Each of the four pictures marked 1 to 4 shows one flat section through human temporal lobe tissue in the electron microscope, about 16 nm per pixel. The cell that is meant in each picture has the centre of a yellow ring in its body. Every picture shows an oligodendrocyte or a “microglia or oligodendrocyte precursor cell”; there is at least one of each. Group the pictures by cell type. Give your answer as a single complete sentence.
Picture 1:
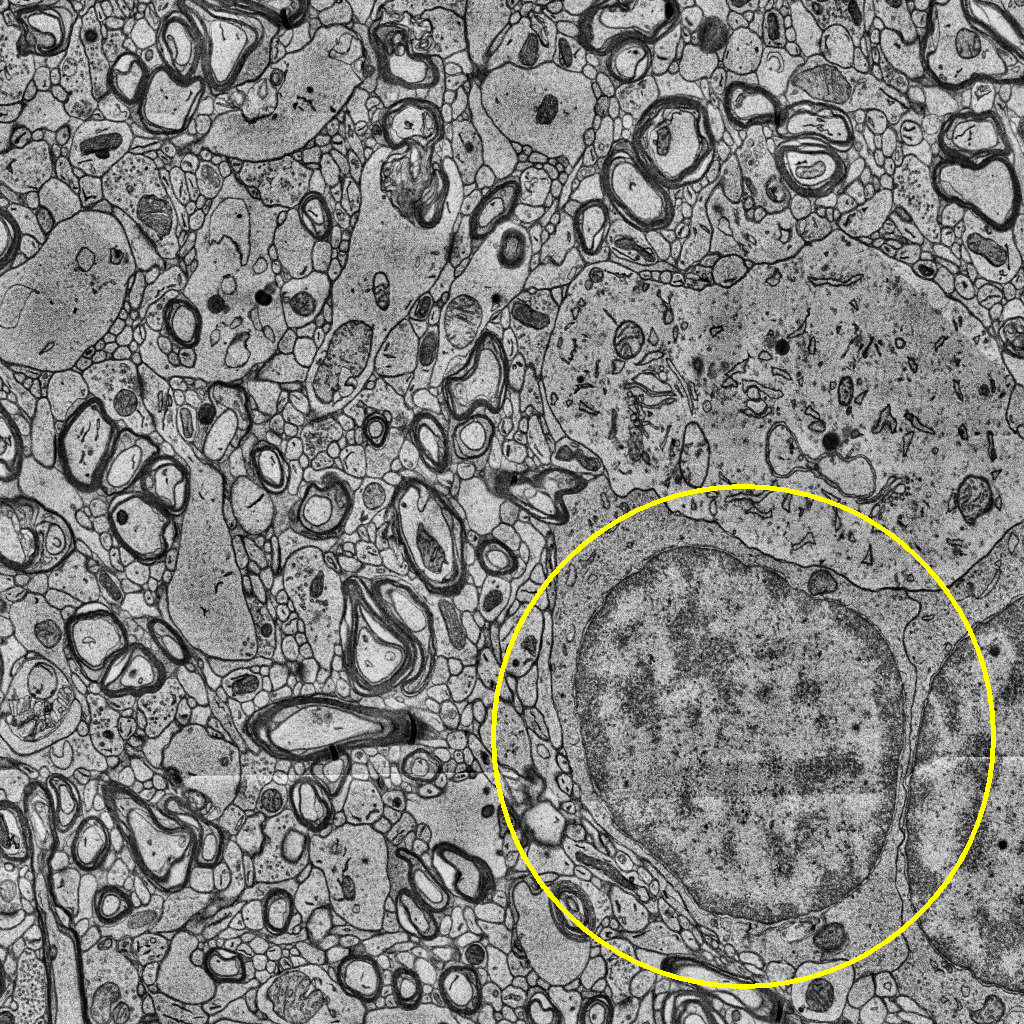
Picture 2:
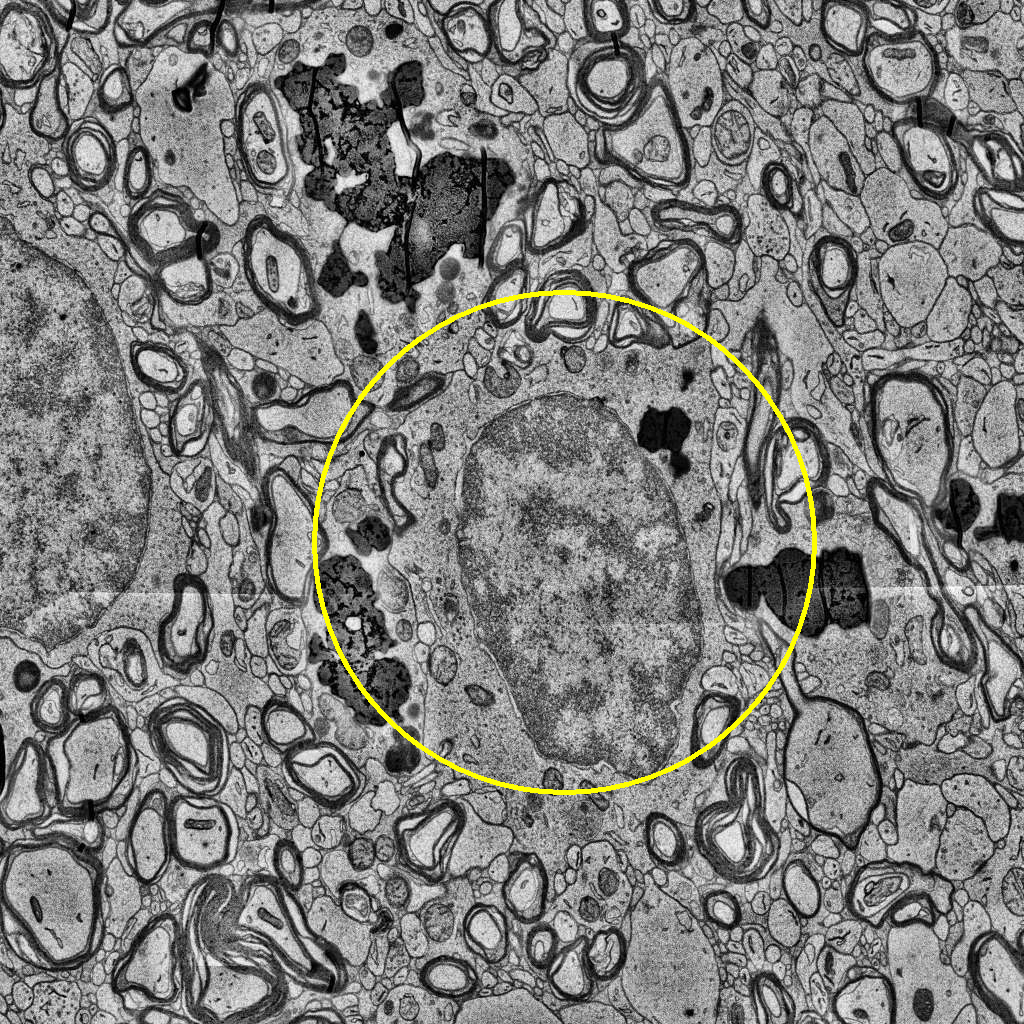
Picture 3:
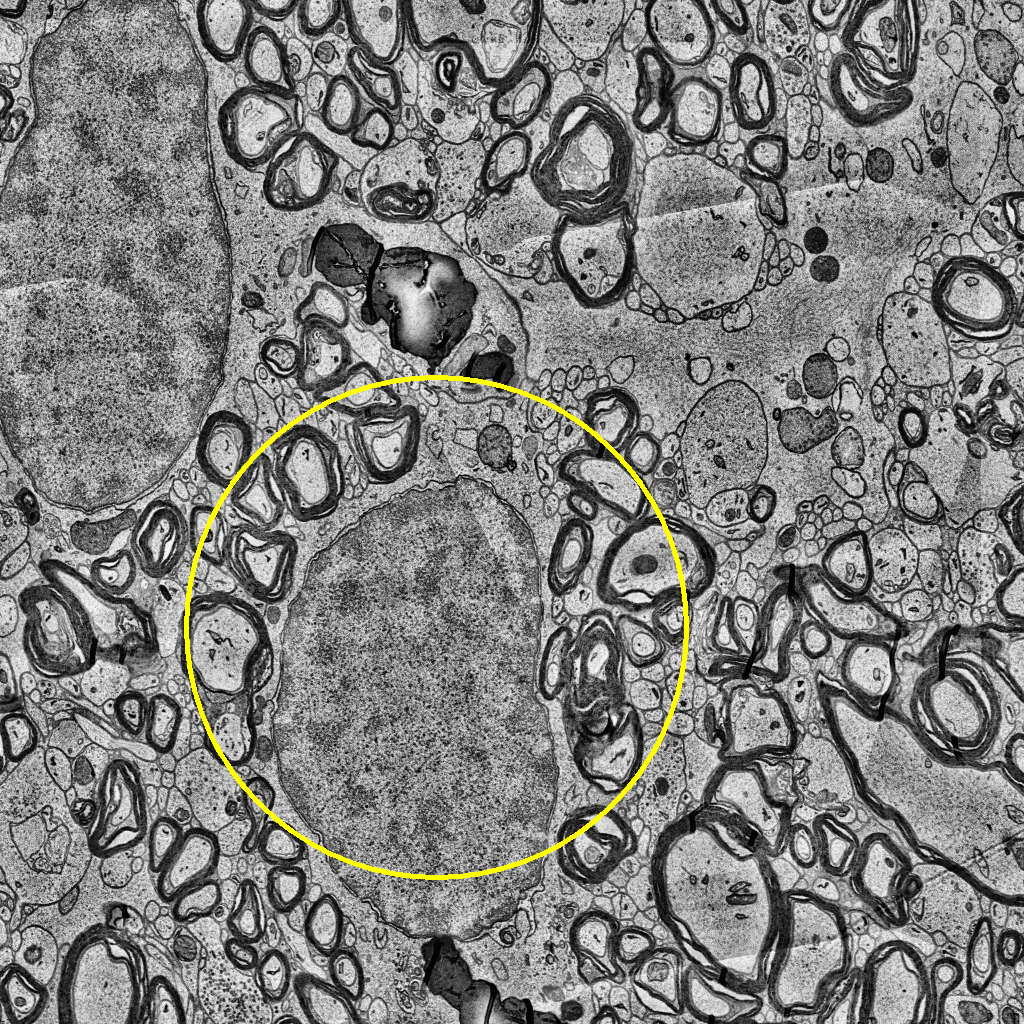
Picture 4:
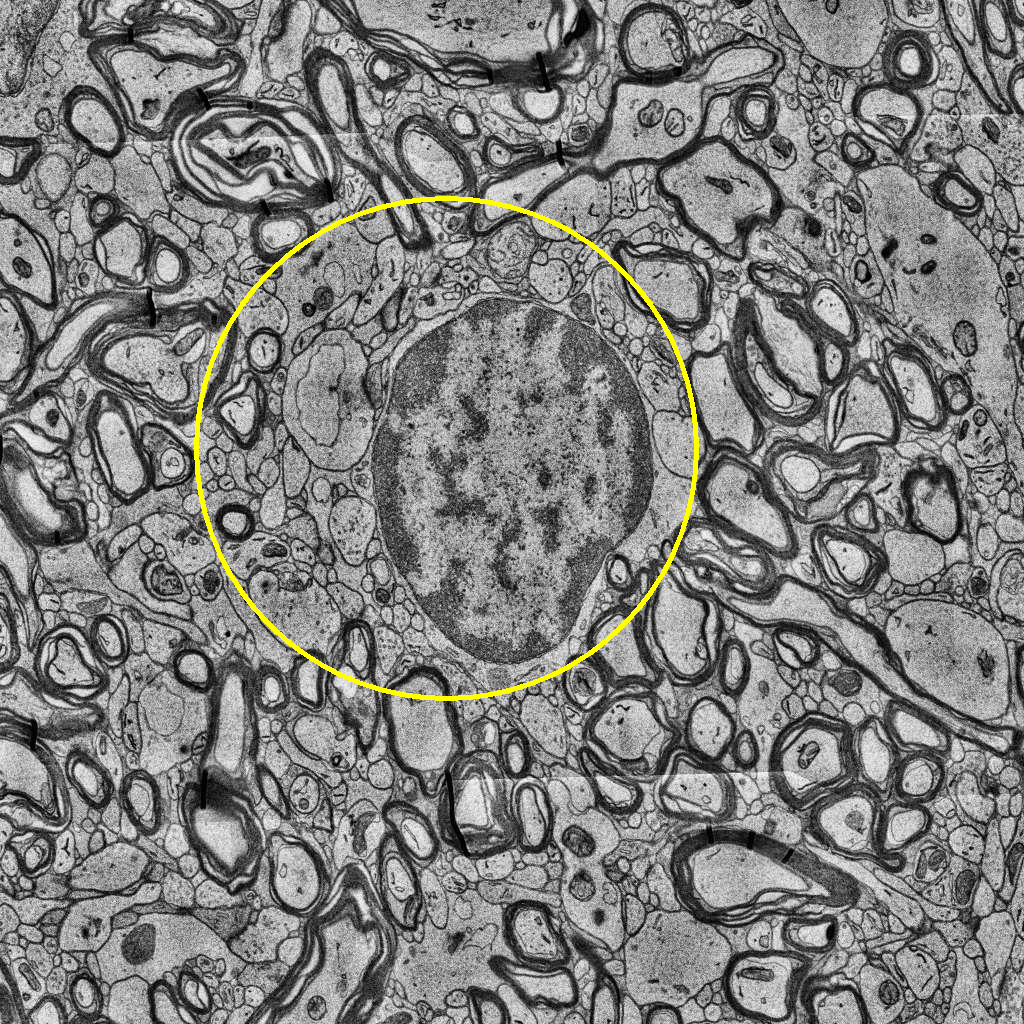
Pictures 1, 2 and 3 show oligodendrocytes; picture 4 shows a “microglia or oligodendrocyte precursor cell”.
